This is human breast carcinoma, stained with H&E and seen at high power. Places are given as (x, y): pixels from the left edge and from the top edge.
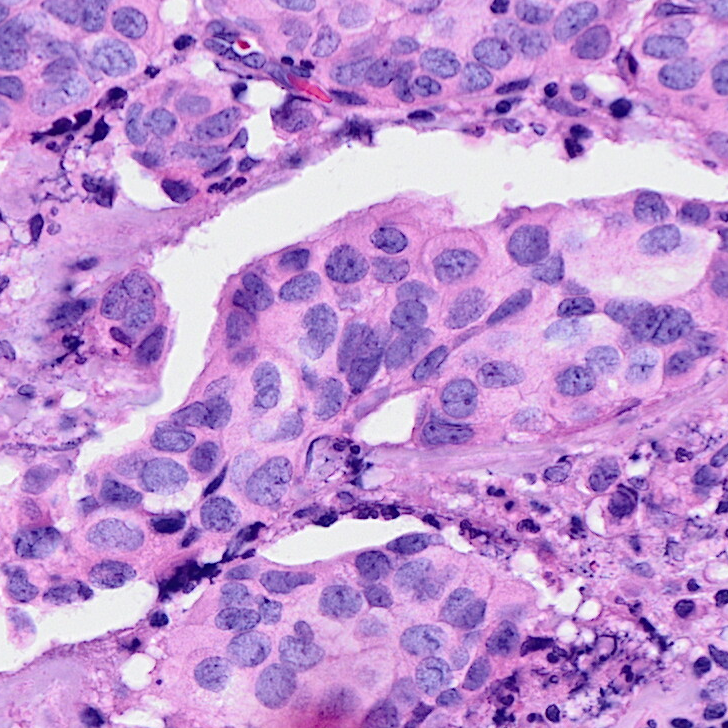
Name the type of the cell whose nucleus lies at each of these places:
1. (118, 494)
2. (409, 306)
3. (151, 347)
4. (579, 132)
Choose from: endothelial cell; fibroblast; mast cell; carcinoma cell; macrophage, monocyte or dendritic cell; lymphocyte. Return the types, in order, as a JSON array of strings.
["carcinoma cell", "carcinoma cell", "carcinoma cell", "lymphocyte"]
